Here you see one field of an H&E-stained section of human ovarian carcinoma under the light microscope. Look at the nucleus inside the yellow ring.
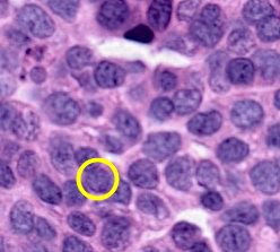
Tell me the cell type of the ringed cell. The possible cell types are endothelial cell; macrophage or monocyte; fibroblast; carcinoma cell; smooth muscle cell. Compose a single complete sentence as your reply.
As a matter of cell type, the ringed cell is a carcinoma cell.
